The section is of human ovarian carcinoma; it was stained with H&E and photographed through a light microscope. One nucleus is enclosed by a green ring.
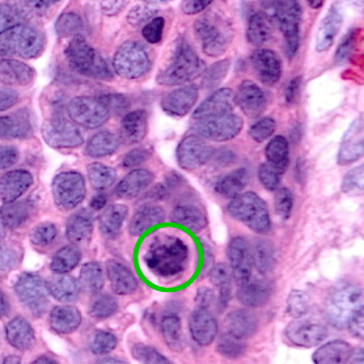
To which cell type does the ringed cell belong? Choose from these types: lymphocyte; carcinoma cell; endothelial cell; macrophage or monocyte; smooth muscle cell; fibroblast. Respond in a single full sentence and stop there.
Microscopically, the ringed cell is categorized as a carcinoma cell.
